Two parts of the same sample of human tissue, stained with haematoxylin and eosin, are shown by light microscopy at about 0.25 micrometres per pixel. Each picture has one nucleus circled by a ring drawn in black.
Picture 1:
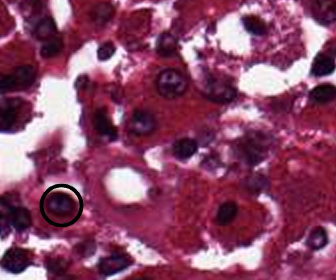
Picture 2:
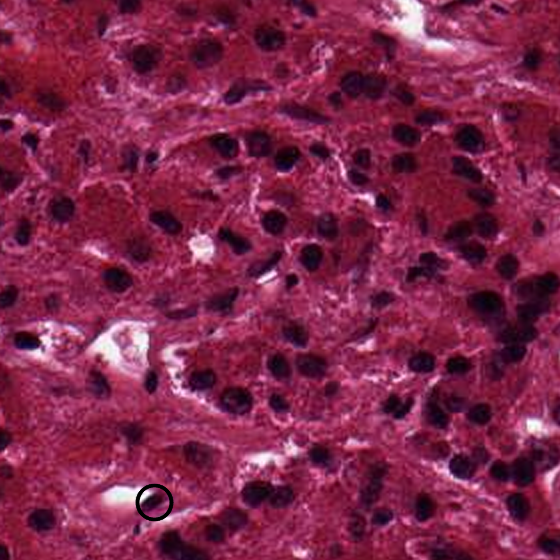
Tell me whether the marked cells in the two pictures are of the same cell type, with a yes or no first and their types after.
No, the first is an anterior pituitary cell and the second an endothelial cell.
